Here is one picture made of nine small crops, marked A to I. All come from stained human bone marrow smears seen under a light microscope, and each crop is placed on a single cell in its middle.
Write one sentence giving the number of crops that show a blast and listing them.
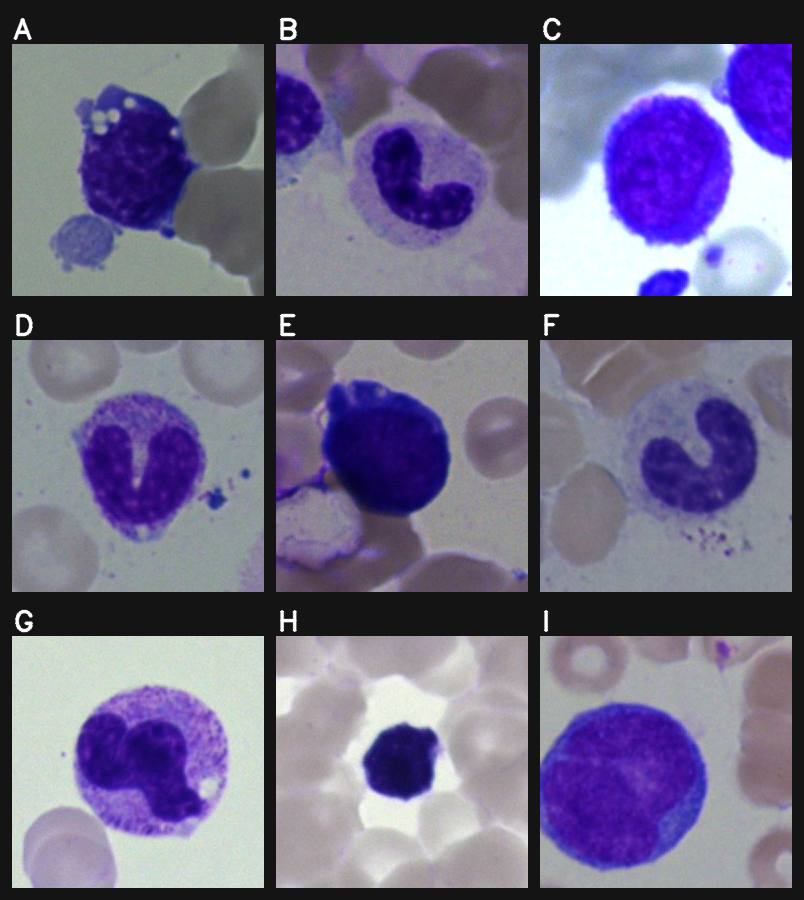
The cells in crops A, C, E and I are blasts, so four crops in all.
